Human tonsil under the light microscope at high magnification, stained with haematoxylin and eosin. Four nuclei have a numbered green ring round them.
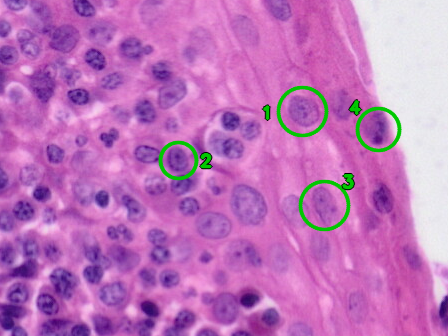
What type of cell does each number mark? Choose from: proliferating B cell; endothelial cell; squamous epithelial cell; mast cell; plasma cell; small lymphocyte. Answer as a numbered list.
1. squamous epithelial cell
2. plasma cell
3. squamous epithelial cell
4. squamous epithelial cell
